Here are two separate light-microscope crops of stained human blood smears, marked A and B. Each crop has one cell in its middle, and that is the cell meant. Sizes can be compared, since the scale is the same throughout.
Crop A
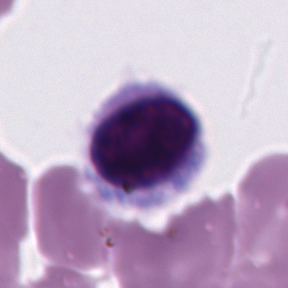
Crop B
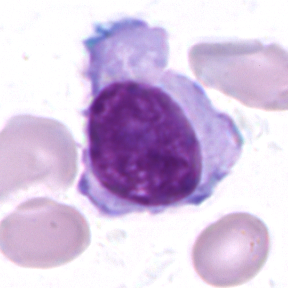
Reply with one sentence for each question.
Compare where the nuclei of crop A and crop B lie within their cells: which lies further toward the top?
The nucleus in crop A lies further toward the top of its cell.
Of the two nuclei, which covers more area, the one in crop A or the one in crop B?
It is the nucleus in crop B, about 1.5 times as large in area as the one in crop A.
